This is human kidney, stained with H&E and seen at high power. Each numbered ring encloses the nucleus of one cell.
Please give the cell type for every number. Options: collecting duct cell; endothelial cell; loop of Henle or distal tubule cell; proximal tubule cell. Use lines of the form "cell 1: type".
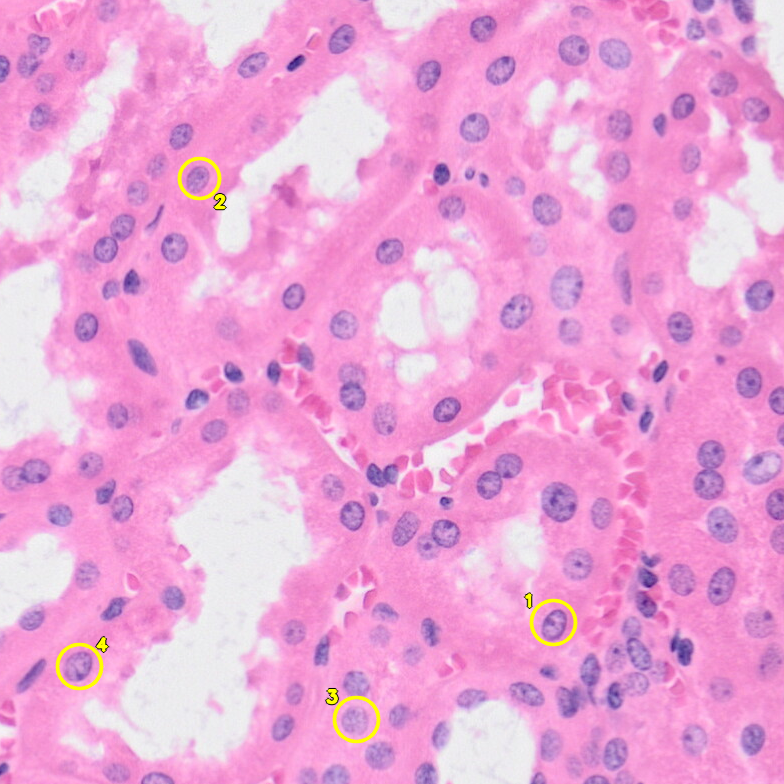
cell 1: proximal tubule cell
cell 2: proximal tubule cell
cell 3: loop of Henle or distal tubule cell
cell 4: proximal tubule cell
